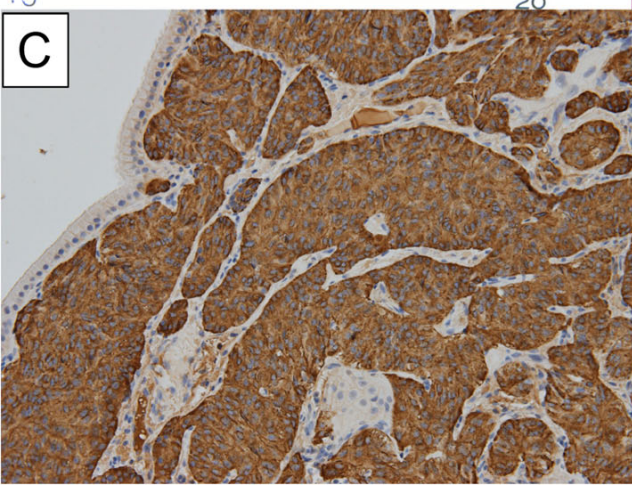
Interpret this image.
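This shows a tumor made of solid and trabecular nests of cells lying beneath a thin surface epithelium. The tumor cells show strong, diffuse brown staining of their cytoplasm, with small blue nuclei visible within the nests. The nests are large and irregular, some merging into broad sheets, others forming narrow cords. Between them runs loose pale stroma with scattered unstained nuclei and small vessels. The single layer of surface epithelium along the left edge is essentially unstained.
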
